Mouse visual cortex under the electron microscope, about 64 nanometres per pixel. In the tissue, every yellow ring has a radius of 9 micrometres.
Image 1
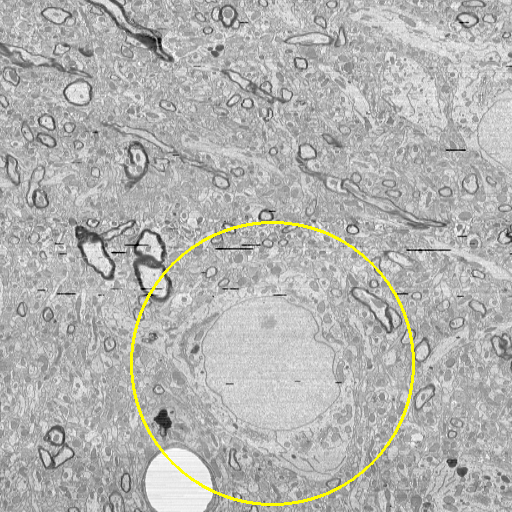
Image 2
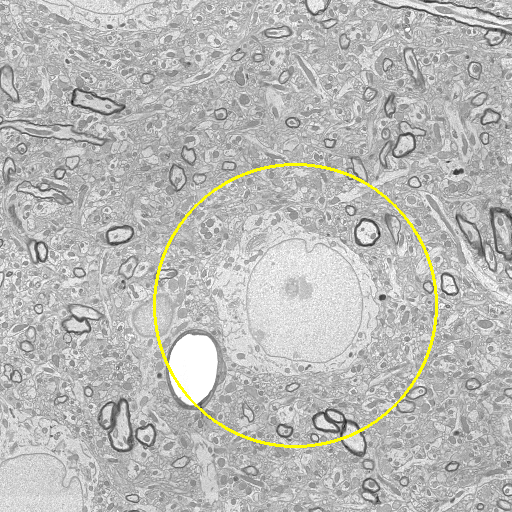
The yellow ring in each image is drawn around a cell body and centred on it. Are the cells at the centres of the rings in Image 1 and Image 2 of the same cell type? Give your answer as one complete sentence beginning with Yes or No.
Yes, both cells are of the same type.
